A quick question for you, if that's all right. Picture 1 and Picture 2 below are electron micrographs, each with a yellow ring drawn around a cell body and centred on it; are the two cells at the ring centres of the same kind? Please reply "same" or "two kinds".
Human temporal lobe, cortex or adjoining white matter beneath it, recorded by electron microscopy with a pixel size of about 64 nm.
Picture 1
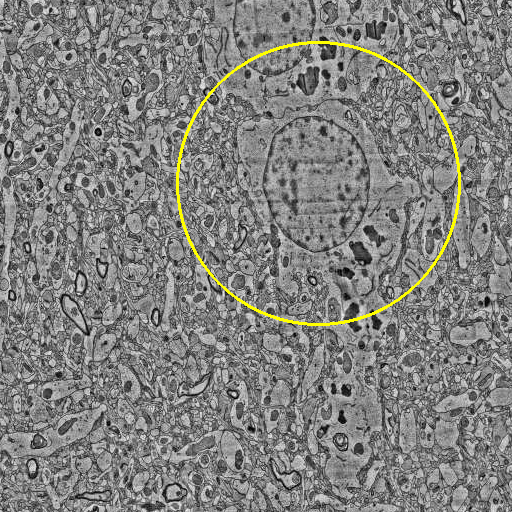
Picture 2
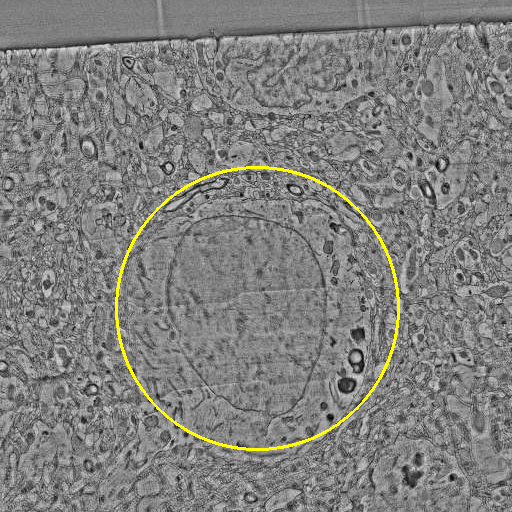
two kinds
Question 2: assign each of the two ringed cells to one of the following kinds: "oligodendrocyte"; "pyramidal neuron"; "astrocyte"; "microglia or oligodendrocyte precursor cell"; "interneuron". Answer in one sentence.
The two cells are an astrocyte in the first picture and a pyramidal neuron in the second.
